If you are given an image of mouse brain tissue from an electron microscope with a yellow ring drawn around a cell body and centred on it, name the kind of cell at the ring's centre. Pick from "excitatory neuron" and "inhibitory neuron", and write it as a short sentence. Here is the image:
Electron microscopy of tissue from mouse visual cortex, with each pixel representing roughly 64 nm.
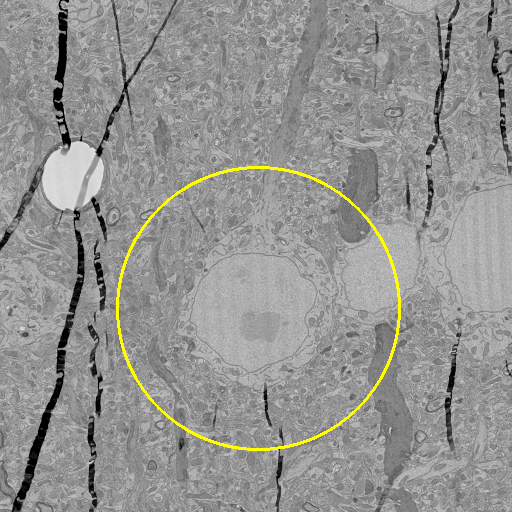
The cell at the ring's centre is an excitatory neuron.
